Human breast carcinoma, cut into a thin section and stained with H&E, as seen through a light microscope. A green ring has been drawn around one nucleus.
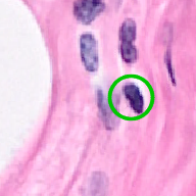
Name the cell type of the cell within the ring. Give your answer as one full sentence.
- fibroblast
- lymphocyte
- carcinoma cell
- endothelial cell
In terms of identity, the cell within the ring is a lymphocyte.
